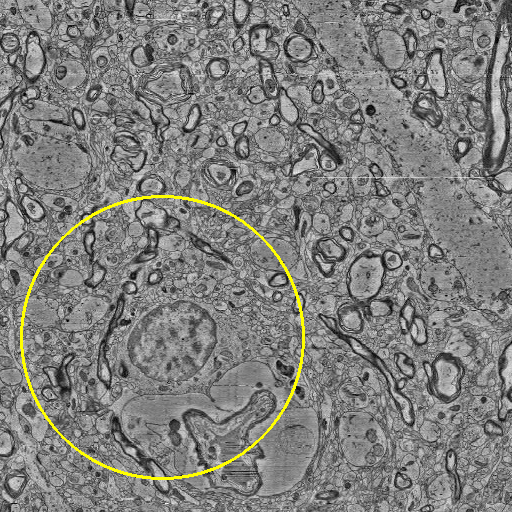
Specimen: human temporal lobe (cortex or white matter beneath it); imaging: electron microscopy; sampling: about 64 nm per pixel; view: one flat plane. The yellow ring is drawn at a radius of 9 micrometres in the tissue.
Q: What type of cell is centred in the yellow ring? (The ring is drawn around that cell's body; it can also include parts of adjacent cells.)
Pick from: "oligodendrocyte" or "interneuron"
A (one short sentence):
The yellow ring is centred on an oligodendrocyte.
